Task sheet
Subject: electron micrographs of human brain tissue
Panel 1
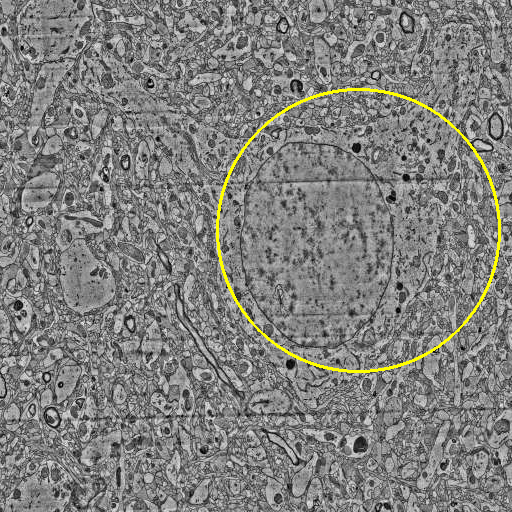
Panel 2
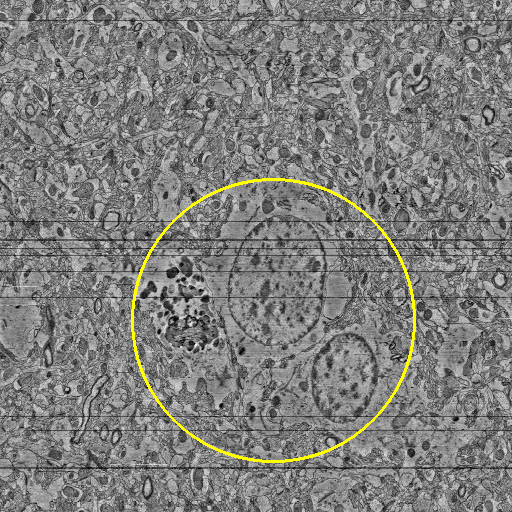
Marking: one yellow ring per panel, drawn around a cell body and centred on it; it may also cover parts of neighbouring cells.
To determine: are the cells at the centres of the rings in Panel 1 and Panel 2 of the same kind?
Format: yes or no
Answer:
no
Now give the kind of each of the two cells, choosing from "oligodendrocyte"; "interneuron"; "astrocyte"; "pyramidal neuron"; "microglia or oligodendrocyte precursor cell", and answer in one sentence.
The cell in the first picture is a pyramidal neuron, and the cell in the second is an astrocyte.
